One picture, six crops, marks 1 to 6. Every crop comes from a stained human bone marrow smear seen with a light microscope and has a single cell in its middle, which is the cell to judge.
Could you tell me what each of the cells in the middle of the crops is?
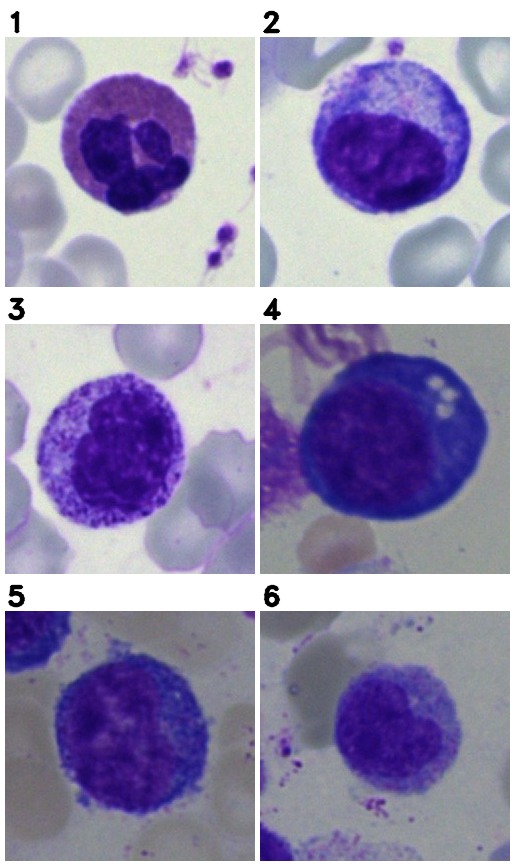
1: eosinophil
2: promyelocyte
3: myelocyte
4: proerythroblast
5: promyelocyte
6: metamyelocyte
